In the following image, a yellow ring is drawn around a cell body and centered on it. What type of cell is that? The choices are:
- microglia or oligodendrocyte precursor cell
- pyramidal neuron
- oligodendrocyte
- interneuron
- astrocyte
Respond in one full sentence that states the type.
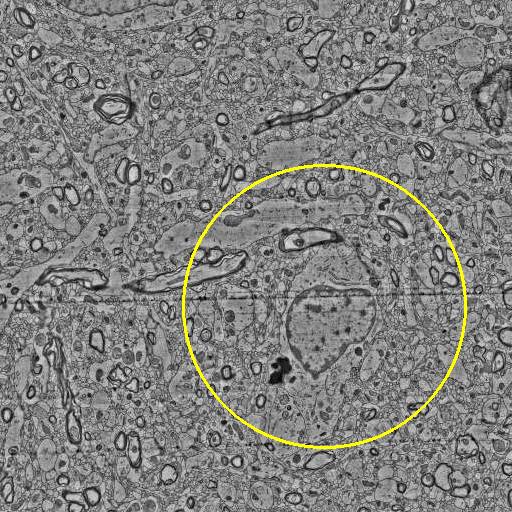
The cell at the center of the yellow ring in the image is a microglial cell or oligodendrocyte precursor cell.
